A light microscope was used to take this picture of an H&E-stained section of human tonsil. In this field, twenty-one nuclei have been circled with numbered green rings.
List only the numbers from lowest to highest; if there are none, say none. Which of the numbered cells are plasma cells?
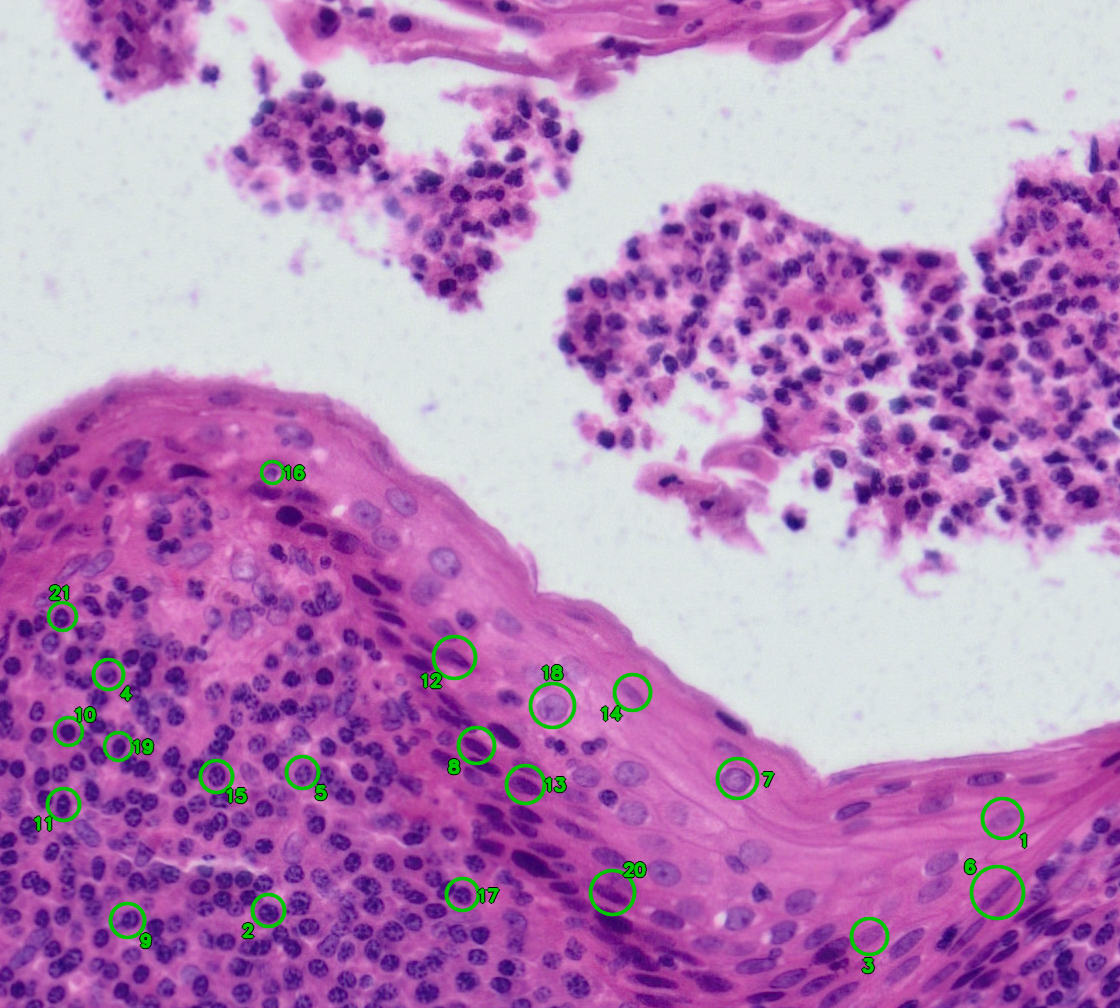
2, 4, 5, 9, 10, 11, 15, 17, 19, 21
